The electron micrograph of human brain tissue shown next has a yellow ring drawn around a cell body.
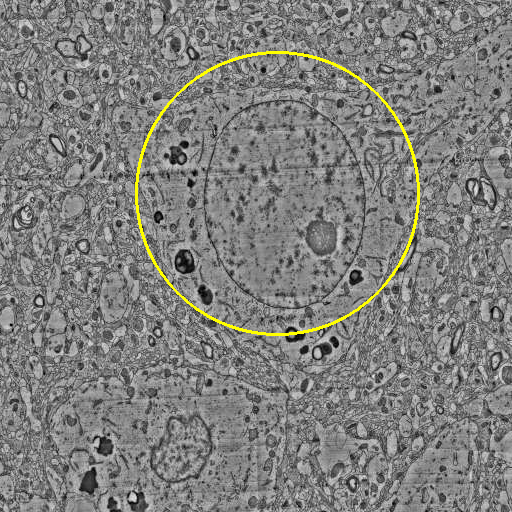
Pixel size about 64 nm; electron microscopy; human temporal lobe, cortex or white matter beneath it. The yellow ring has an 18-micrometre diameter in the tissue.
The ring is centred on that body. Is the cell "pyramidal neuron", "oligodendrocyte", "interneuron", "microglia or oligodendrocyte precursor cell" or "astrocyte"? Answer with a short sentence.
The cell in question is a pyramidal neuron.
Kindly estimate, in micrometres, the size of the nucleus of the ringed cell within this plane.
In this plane, the nucleus is roughly 13 by 10 micrometres.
